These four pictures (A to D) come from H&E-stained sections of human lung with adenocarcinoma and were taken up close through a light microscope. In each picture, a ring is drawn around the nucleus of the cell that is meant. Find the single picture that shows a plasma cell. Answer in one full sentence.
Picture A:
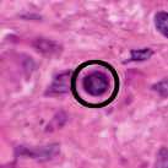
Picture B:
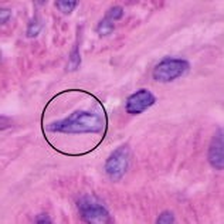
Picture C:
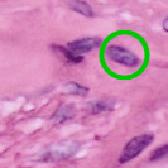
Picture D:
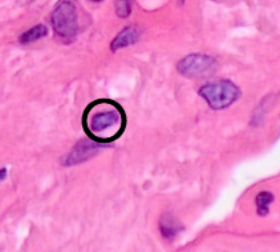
Picture A shows the plasma cell.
